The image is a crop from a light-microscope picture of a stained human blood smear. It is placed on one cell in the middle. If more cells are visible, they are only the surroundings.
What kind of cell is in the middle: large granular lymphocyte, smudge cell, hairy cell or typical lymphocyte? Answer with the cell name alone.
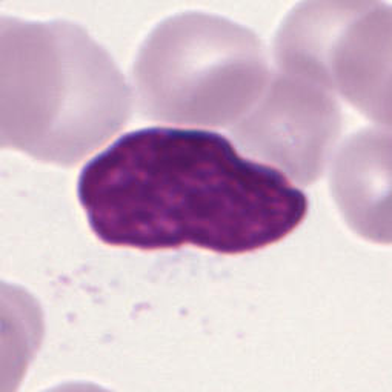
smudge cell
